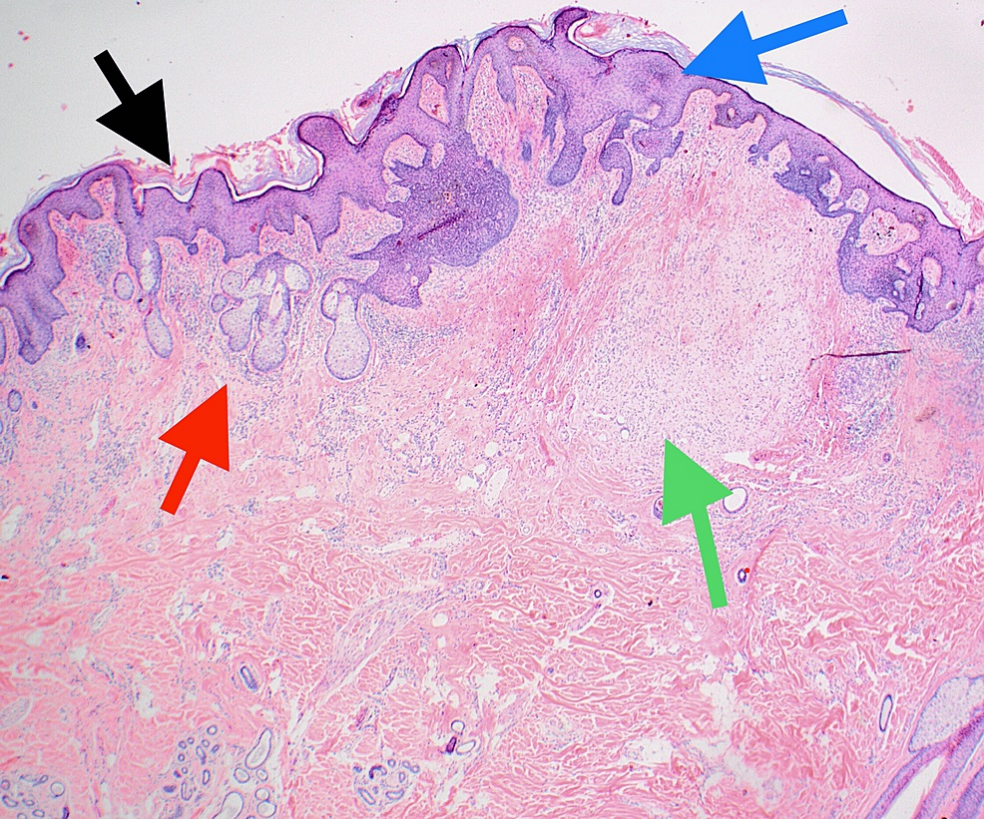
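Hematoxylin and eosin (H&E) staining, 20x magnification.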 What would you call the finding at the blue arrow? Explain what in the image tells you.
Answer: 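The epidermis is markedly thickened. The squamous layer forms broad, deep purple downgrowths. So: acanthotic epidermis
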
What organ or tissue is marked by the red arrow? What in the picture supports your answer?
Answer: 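Pale rounded lobules lie in the upper dermis. The lobules connect directly to the overlying epidermis.
Hence: sebaceous glands.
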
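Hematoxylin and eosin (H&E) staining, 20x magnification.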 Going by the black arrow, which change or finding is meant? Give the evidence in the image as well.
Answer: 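Epidermal papillomatosis. The epidermal surface is undulating with upward projections. Rete ridges are elongated and irregular.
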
